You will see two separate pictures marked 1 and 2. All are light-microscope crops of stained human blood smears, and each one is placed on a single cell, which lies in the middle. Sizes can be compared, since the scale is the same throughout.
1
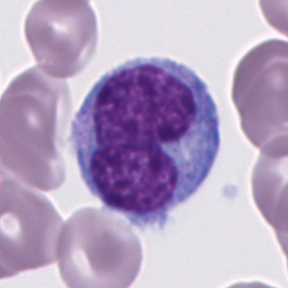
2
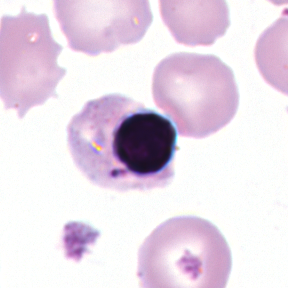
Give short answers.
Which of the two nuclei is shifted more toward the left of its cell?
1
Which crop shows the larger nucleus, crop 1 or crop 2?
1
